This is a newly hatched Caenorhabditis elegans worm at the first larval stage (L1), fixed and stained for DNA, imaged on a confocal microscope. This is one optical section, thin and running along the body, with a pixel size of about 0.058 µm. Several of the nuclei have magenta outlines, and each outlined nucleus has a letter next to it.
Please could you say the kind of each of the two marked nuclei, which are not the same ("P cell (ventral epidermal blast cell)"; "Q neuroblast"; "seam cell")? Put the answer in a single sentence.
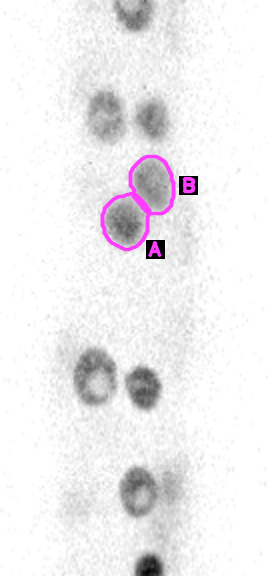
The nucleus A is that of a Q neuroblast, while B is that of a seam cell.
